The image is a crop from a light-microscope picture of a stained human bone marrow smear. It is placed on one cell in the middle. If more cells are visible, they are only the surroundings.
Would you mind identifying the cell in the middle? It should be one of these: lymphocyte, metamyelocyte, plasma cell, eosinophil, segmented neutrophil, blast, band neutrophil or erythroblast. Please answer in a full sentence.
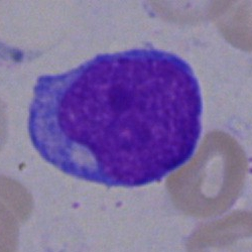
The crop's centre is taken up by a blast.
